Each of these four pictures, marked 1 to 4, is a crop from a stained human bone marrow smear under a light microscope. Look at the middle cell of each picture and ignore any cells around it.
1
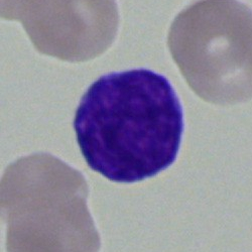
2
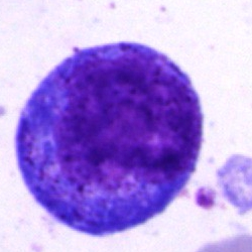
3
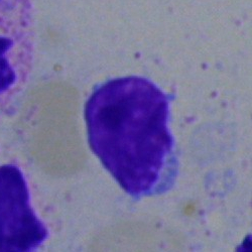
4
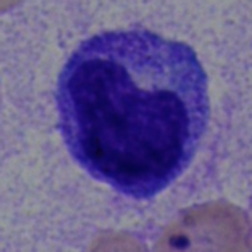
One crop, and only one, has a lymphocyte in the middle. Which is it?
3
